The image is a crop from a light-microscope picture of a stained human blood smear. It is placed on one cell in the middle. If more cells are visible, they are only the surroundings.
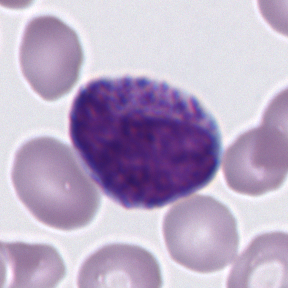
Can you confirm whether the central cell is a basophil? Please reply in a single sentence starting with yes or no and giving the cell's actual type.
Yes, shown in the middle of the crop is a basophil.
